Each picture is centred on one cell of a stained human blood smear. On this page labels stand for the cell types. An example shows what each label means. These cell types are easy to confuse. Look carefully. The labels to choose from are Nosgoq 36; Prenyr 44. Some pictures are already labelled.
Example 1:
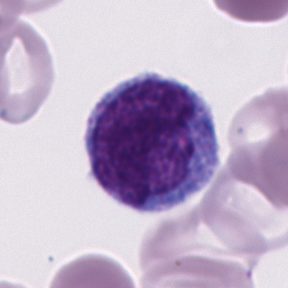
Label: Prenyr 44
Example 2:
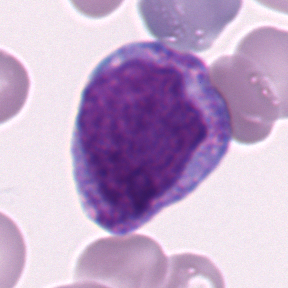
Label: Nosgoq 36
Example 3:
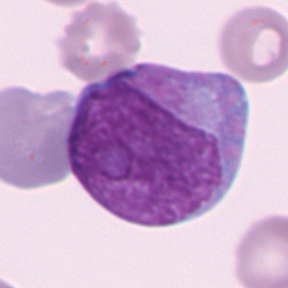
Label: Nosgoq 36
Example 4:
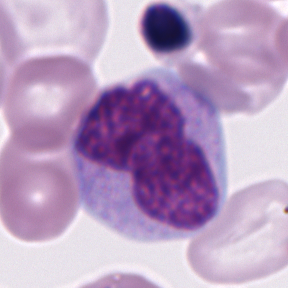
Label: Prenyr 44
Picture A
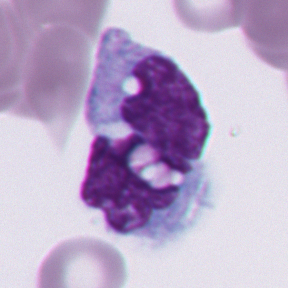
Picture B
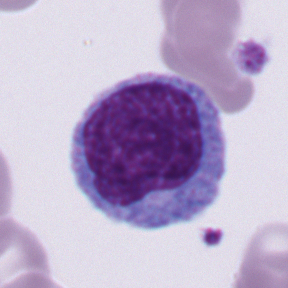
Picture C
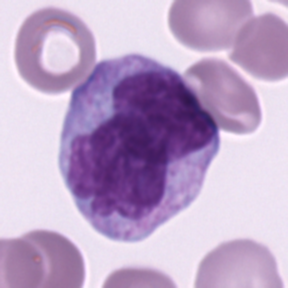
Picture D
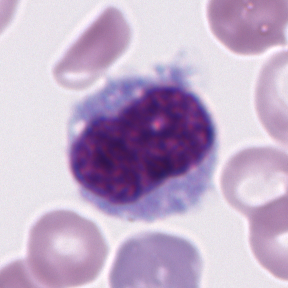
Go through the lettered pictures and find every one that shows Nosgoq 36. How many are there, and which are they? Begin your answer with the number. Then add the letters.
Count: 1 (C)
